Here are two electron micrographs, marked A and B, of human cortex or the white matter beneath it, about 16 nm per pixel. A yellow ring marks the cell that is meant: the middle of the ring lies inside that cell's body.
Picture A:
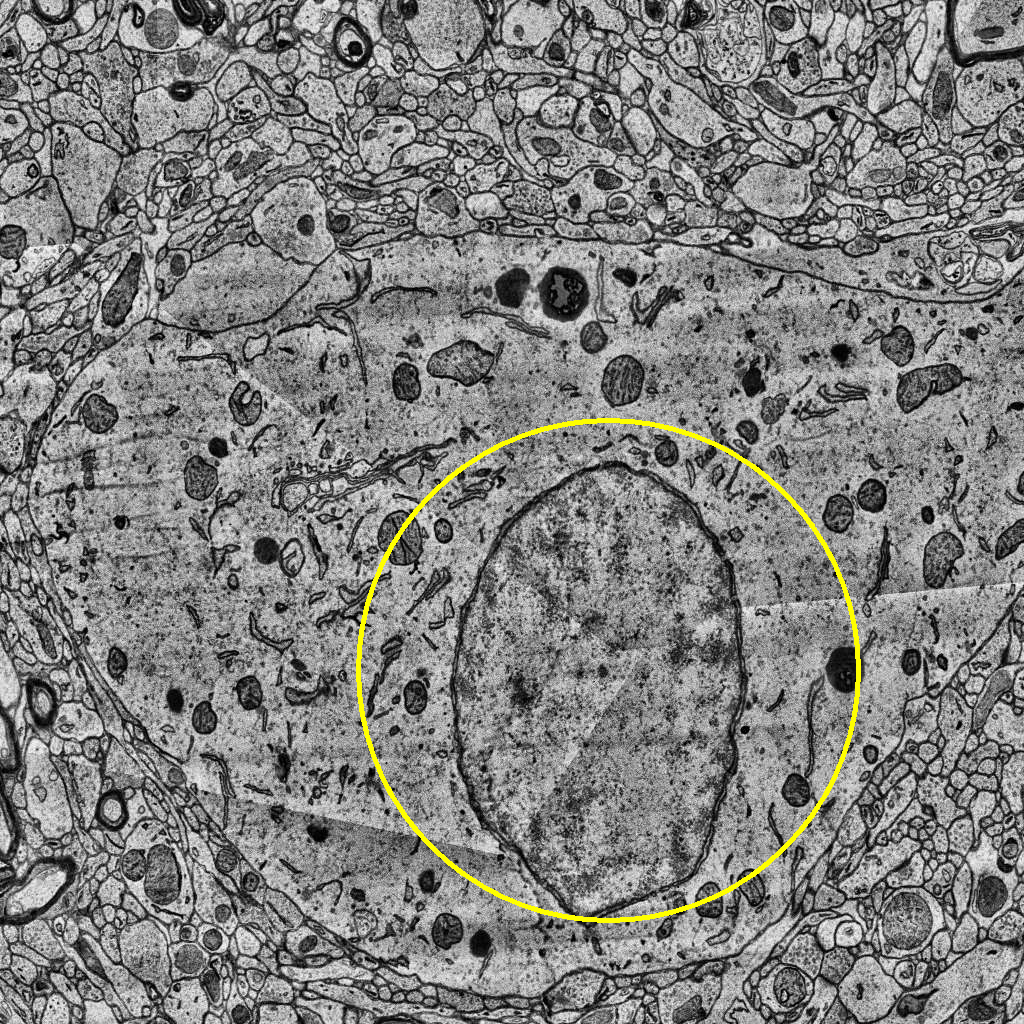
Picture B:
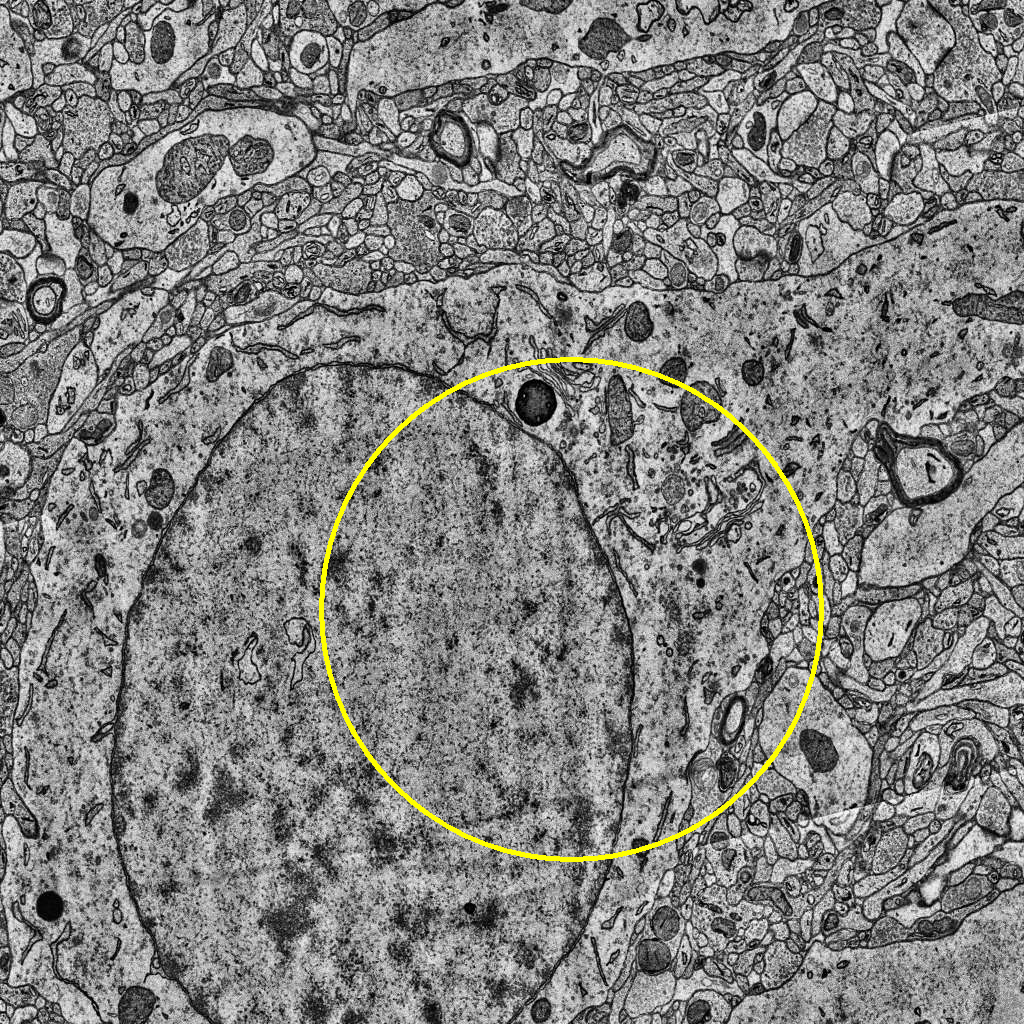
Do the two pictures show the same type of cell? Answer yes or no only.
yes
